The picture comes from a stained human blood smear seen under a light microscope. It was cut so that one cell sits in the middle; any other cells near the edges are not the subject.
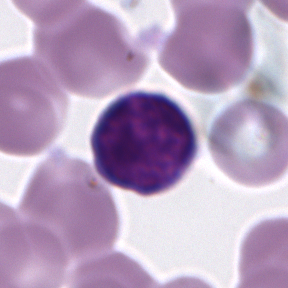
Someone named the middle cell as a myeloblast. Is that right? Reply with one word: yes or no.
no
